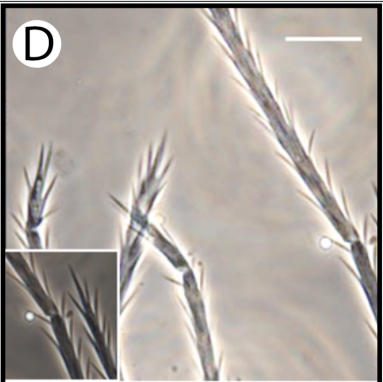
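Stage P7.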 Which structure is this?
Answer: spinulate setae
